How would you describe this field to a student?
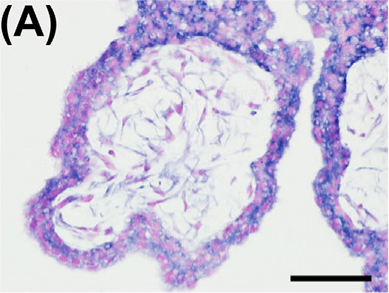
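A rounded chorionic villus is cut across, with a loose, pale core in which spindle-shaped stromal cells lie widely apart. Around this core runs a thick, continuous covering of closely packed epithelial cells with red-pink nuclei. Part of a second villus with the same layered covering is seen at the right edge.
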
